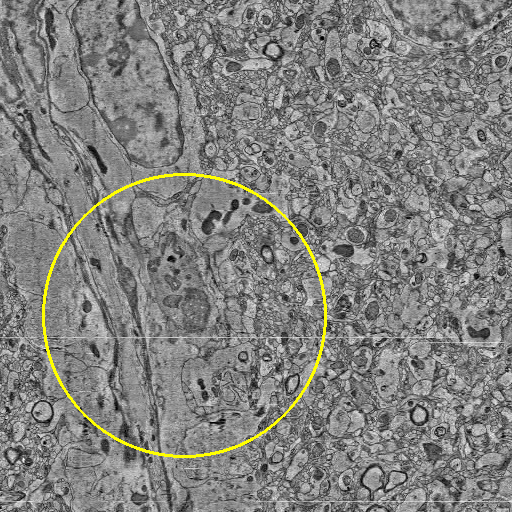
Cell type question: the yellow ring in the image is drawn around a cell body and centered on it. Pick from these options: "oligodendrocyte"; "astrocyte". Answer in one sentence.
The ringed cell at the center is an oligodendrocyte.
